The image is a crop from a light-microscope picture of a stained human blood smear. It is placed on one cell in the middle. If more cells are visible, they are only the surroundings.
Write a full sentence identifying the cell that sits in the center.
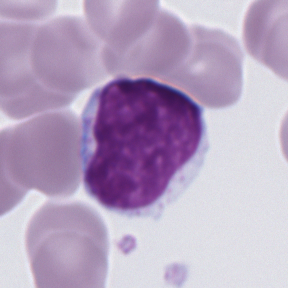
Framed in the middle of the crop is a large granular lymphocyte.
